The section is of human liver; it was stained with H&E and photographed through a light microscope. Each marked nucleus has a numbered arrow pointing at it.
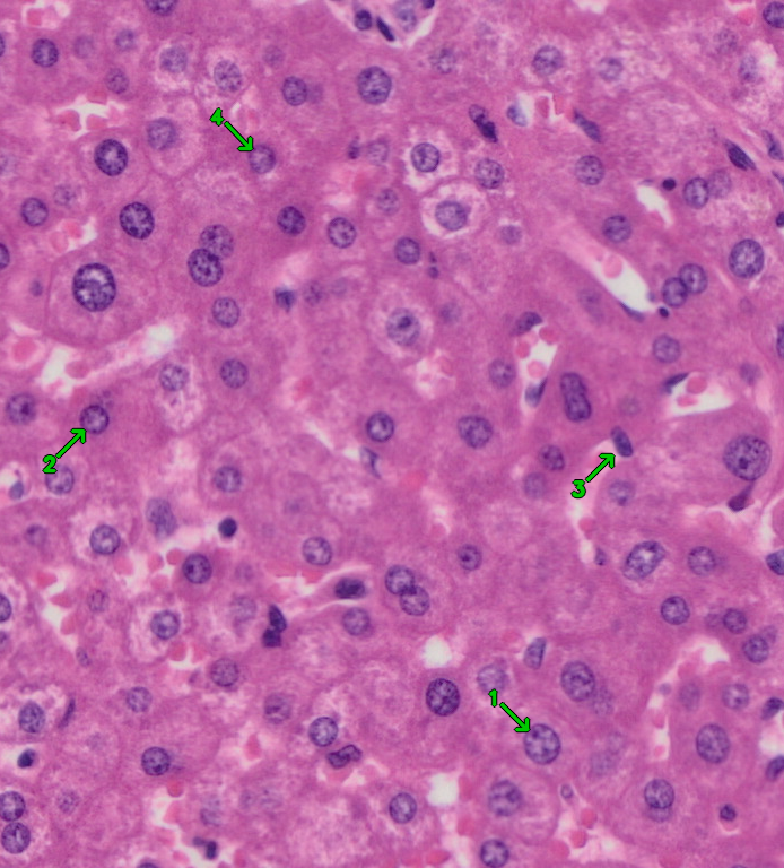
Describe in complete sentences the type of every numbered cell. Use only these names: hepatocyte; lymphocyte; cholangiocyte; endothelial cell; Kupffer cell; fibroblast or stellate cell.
Cells 1, 2 and 4 are hepatocytes. Cell 3 is a fibroblast or stellate cell.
